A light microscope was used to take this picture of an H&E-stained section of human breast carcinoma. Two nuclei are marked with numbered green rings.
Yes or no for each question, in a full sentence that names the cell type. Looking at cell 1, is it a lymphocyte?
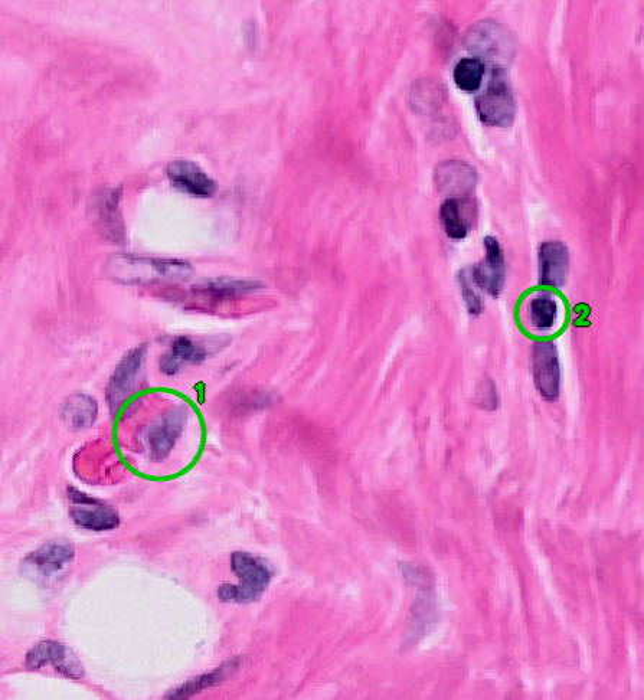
No, cell 1 should be read as an endothelial cell instead of a lymphocyte.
